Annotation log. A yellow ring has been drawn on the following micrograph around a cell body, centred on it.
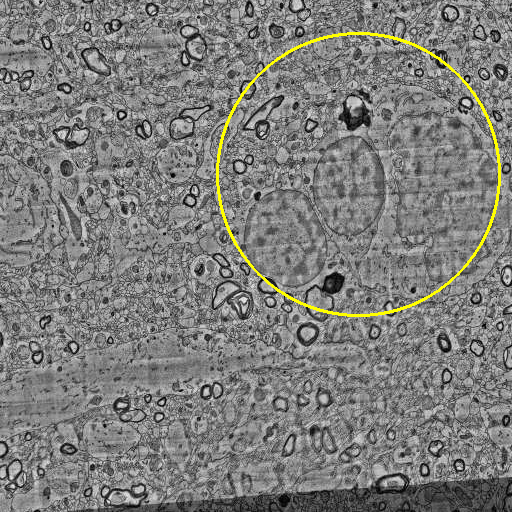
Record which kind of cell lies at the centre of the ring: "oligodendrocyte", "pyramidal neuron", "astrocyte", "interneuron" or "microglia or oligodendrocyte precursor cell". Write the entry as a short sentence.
The cell the ring is centred on is an oligodendrocyte.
